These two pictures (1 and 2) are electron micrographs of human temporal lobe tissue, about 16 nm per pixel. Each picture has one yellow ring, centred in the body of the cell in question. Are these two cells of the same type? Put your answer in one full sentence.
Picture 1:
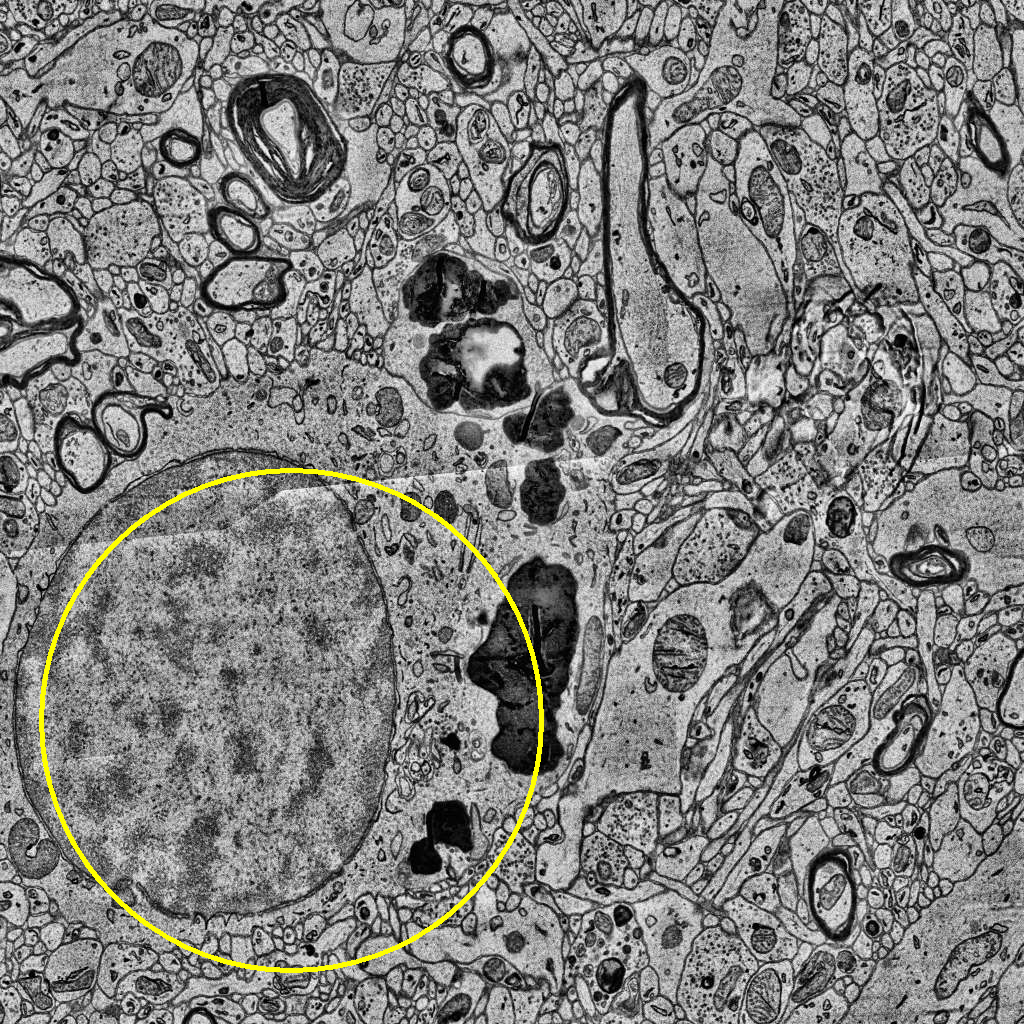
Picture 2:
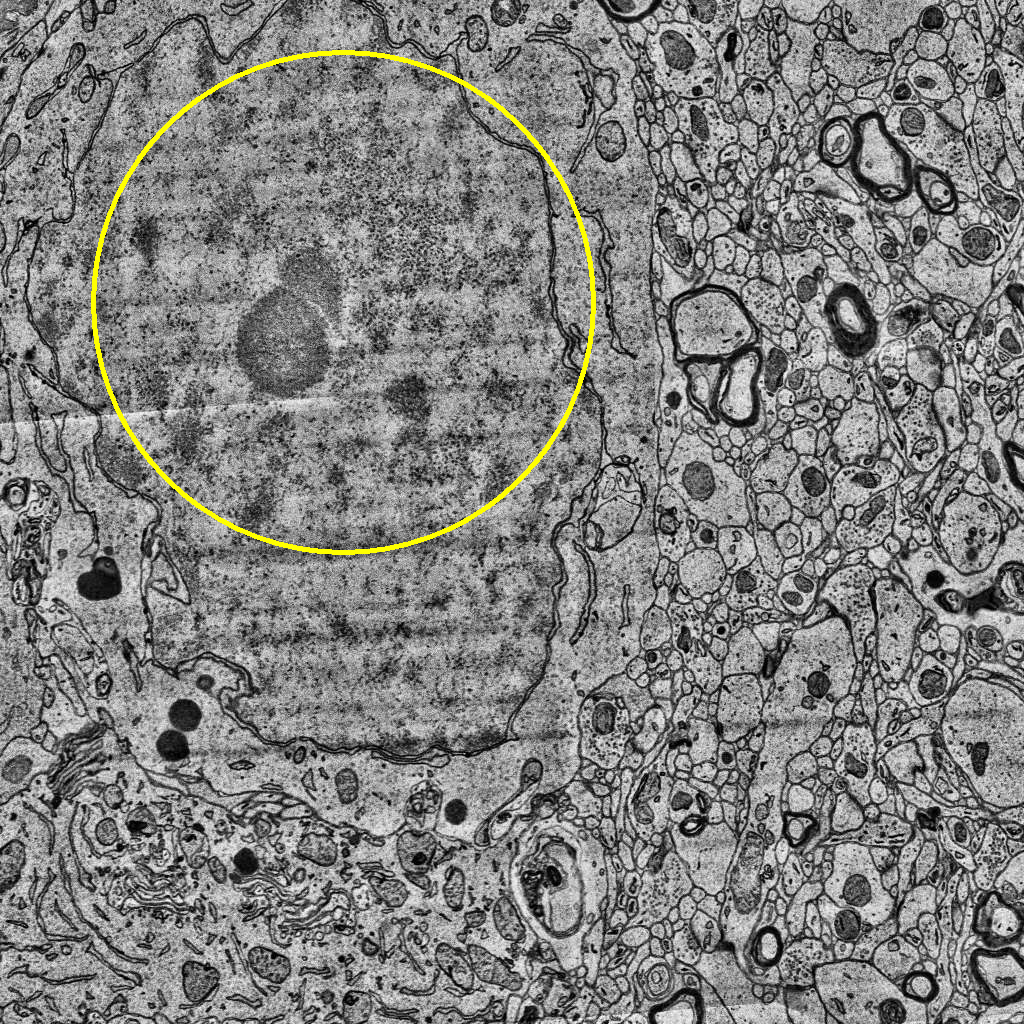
No, the types are not the same, since picture 1 shows an oligodendrocyte and picture 2 an interneuron.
